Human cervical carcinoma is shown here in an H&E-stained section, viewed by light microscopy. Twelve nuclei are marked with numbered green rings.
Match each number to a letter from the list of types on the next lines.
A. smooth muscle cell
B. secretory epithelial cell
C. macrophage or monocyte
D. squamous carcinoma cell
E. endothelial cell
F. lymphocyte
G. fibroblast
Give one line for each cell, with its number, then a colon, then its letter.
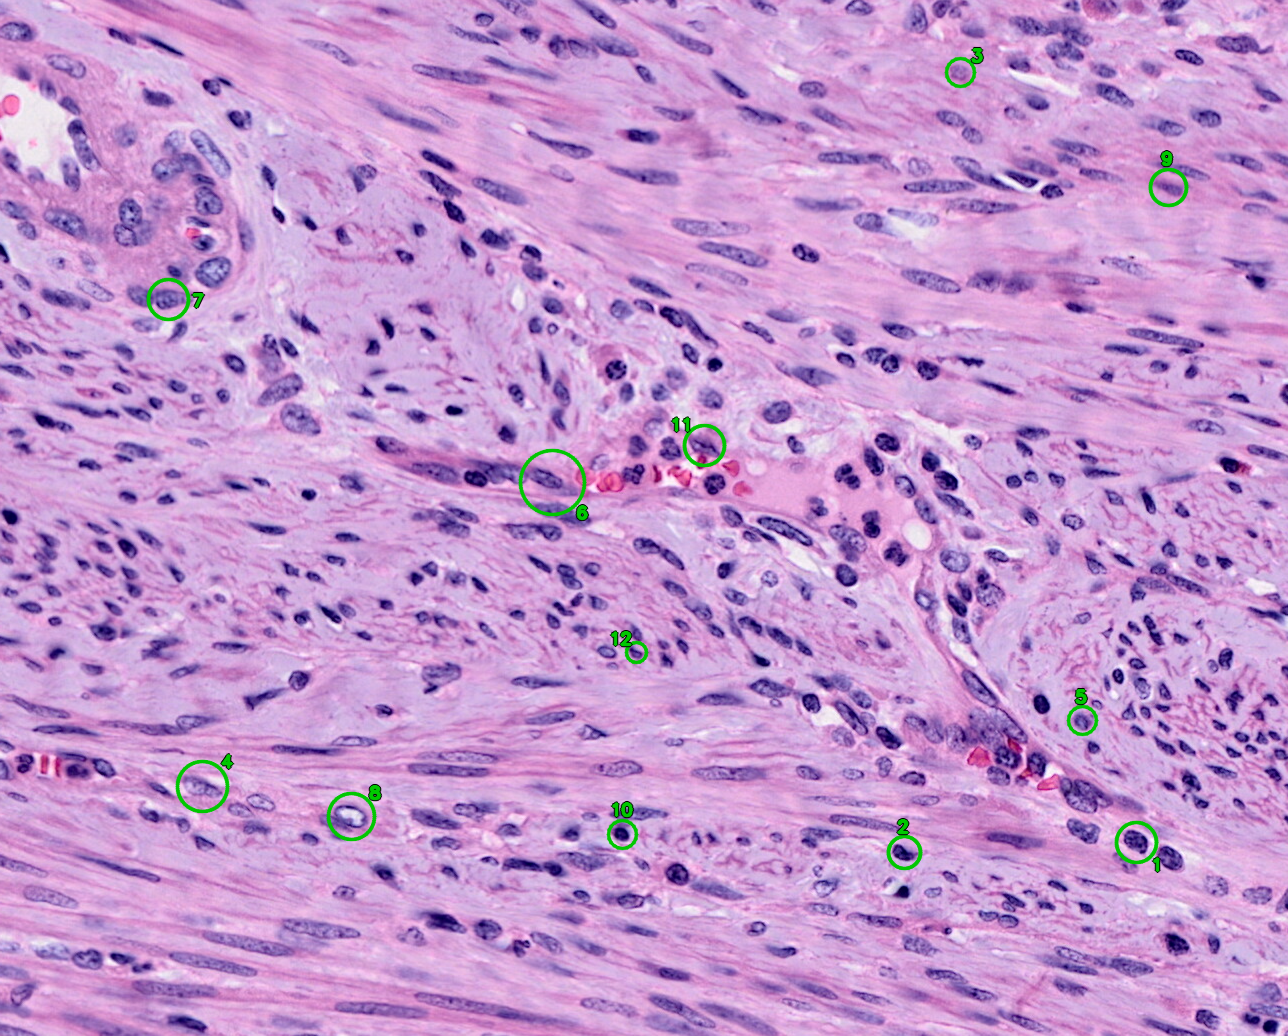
1: F
2: F
3: A
4: E
5: A
6: E
7: A
8: E
9: A
10: F
11: E
12: A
